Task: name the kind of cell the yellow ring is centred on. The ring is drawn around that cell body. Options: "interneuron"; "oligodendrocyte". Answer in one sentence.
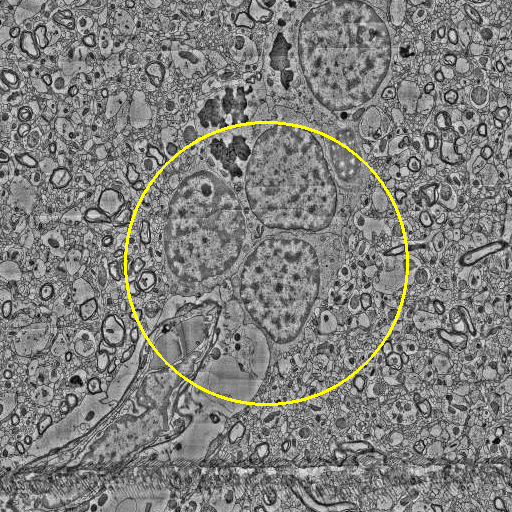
This cell body belongs to an oligodendrocyte.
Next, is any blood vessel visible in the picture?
Yes, one is visible.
